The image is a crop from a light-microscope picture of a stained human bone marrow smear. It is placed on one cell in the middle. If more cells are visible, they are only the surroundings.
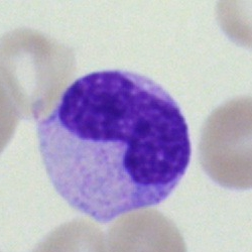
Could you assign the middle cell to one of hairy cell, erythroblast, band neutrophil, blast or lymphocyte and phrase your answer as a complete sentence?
In the centre of this crop there is a band neutrophil.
